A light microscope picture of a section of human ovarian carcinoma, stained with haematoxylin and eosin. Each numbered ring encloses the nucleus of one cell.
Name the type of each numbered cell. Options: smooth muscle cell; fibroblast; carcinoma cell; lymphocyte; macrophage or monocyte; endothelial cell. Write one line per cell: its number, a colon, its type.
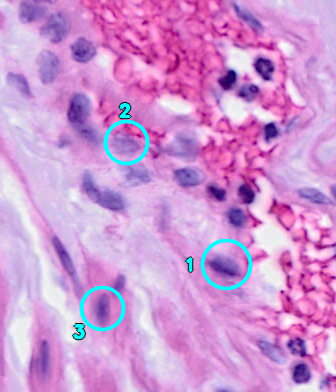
1: endothelial cell
2: endothelial cell
3: smooth muscle cell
